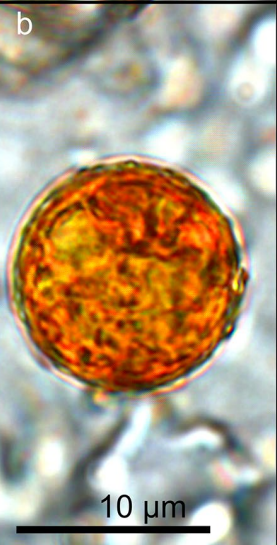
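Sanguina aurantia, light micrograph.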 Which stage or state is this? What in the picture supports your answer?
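Contents mostly orange throughout. On this evidence: Mature cysts.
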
